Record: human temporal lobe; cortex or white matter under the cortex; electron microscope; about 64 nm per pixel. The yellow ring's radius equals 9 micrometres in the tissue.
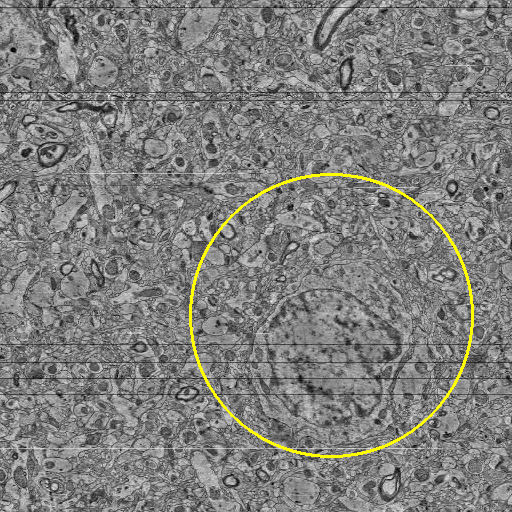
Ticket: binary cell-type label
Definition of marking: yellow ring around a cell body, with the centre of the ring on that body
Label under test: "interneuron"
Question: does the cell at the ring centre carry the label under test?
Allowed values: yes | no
yes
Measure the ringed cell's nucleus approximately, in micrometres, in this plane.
Roughly 9 micrometres across, measured in this plane.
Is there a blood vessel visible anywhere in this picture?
No, no blood vessel can be seen.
